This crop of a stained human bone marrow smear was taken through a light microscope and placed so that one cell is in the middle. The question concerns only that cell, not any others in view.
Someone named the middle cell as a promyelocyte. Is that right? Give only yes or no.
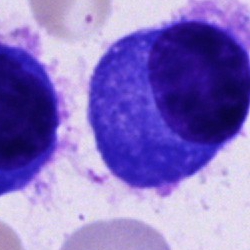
no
